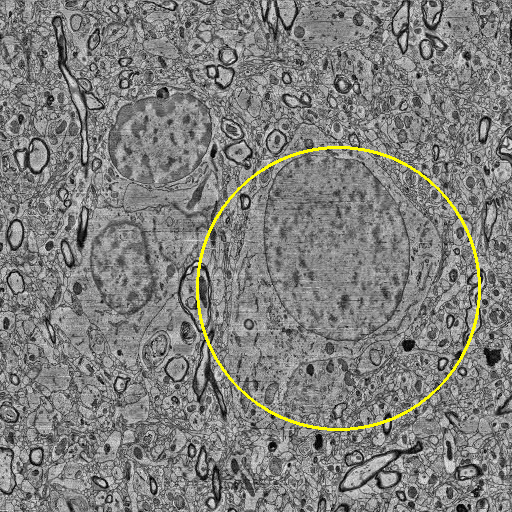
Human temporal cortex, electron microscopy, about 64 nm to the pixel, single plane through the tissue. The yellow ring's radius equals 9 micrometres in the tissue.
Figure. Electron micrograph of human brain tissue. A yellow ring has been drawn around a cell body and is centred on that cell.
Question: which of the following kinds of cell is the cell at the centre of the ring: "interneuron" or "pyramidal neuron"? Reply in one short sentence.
The cell at the centre of the ring is a pyramidal neuron.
